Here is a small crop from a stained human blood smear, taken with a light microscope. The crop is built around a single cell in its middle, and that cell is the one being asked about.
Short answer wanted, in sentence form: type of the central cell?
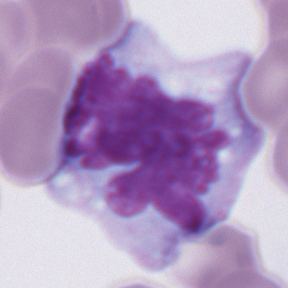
In the centre of this crop there is a monocyte.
